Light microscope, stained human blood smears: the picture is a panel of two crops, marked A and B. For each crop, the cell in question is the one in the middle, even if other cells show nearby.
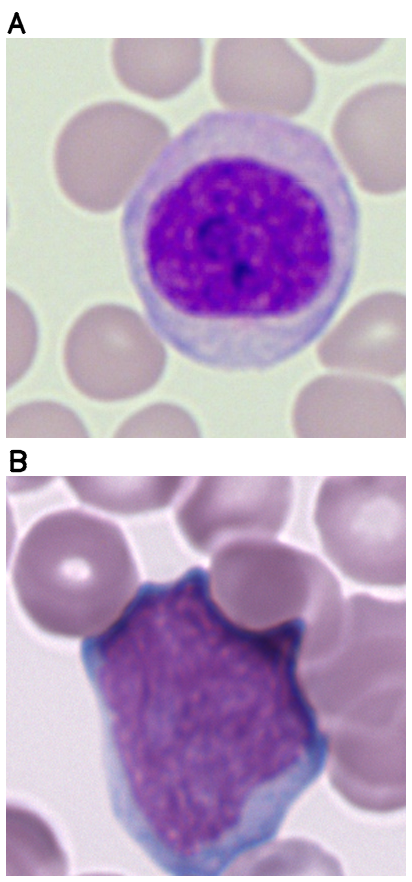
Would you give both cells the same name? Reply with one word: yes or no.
no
